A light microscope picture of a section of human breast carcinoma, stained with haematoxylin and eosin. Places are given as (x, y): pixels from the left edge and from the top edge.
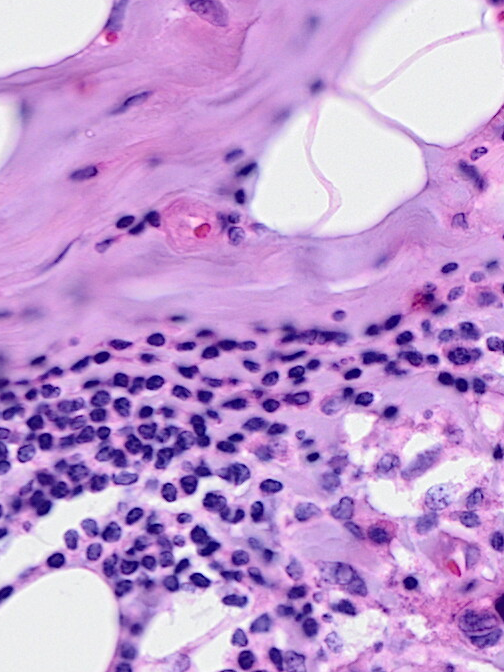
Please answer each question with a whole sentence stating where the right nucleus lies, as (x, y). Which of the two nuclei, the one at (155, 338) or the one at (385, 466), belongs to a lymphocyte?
Assigned to a lymphocyte is the nucleus located at (155, 338).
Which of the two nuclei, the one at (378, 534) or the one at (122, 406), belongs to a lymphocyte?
The nucleus contained in a lymphocyte is the one at (122, 406).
